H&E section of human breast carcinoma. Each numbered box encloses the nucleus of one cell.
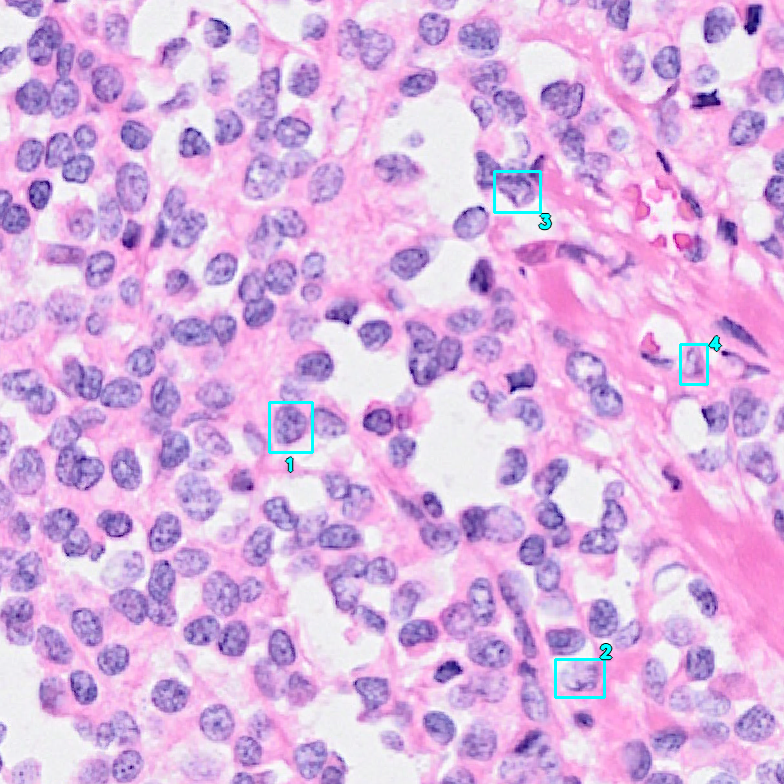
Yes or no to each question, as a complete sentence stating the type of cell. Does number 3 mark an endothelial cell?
No, cell 3 is correctly identified as a carcinoma cell and not as an endothelial cell.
